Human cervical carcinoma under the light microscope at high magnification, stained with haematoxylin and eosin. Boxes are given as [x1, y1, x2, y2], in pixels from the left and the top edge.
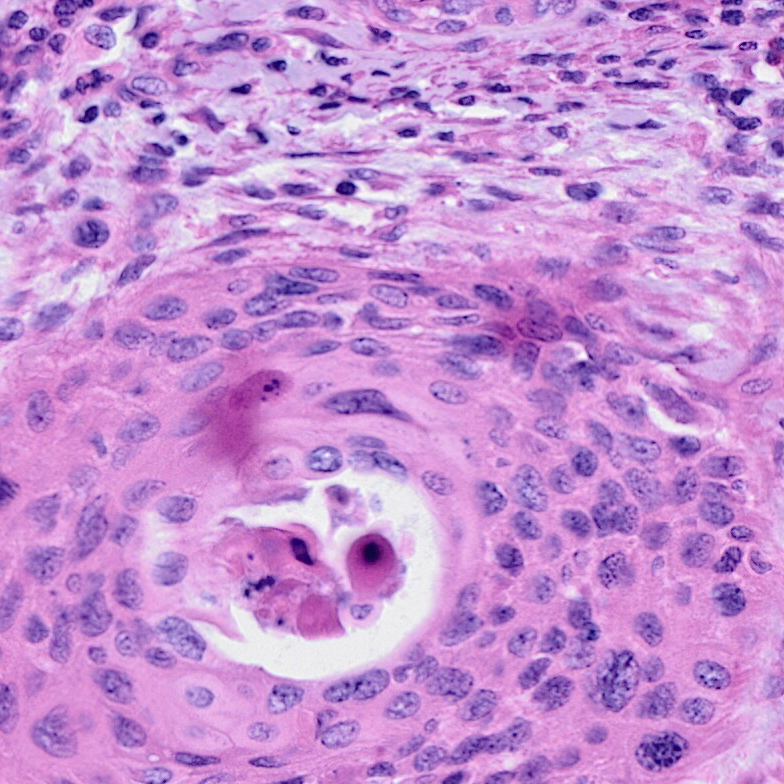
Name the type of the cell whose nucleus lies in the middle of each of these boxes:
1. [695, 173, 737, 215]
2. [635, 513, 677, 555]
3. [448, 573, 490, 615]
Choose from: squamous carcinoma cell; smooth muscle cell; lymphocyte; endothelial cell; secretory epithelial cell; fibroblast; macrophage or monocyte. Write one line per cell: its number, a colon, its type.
1: fibroblast
2: squamous carcinoma cell
3: squamous carcinoma cell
